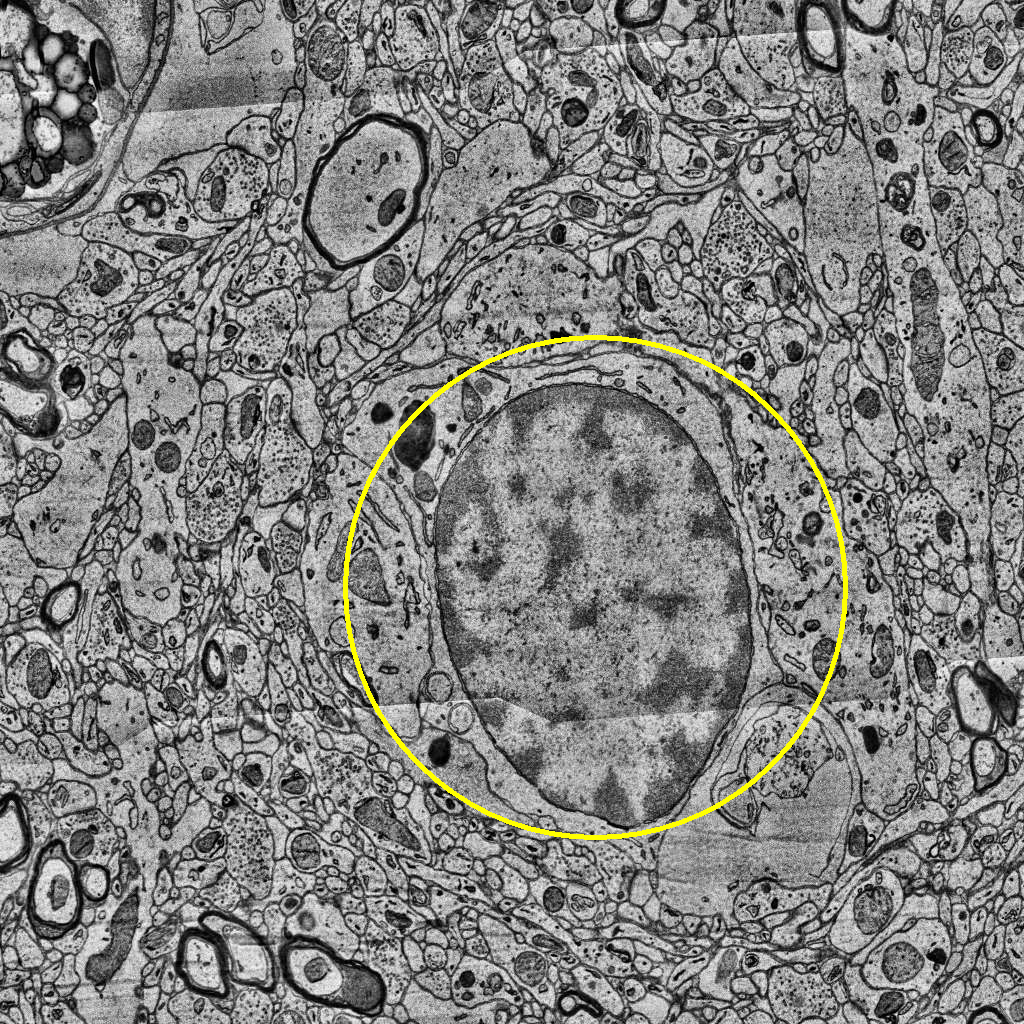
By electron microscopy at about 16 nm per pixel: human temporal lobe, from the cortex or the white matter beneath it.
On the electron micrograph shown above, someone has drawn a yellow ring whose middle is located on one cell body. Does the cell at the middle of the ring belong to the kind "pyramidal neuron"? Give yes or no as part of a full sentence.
No, the cell located at the middle of the ring in the micrograph is of a different kind.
